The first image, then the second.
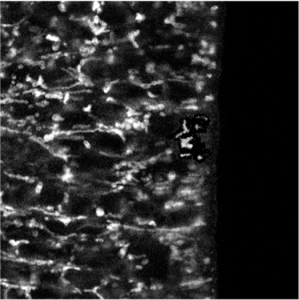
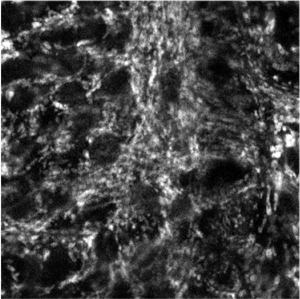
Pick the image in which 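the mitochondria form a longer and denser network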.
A: The second image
